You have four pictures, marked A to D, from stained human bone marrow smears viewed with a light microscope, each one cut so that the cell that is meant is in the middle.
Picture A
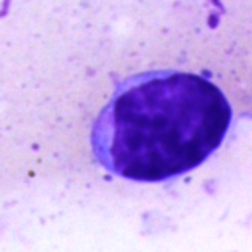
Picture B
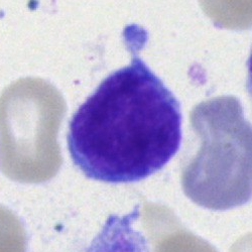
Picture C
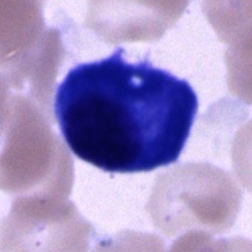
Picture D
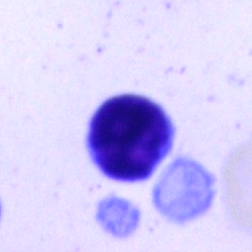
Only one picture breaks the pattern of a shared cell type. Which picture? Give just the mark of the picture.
C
